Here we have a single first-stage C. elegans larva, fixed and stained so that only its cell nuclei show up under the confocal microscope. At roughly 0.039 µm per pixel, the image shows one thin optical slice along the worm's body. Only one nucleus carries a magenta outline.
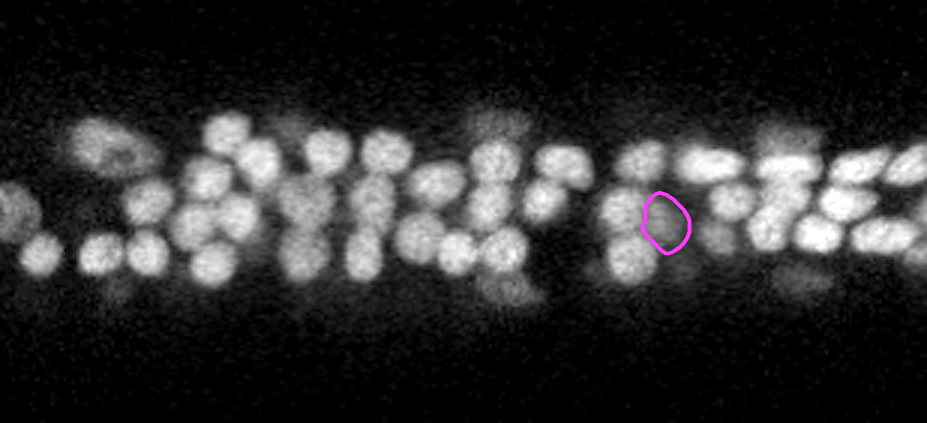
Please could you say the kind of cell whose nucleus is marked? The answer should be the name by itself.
neuron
